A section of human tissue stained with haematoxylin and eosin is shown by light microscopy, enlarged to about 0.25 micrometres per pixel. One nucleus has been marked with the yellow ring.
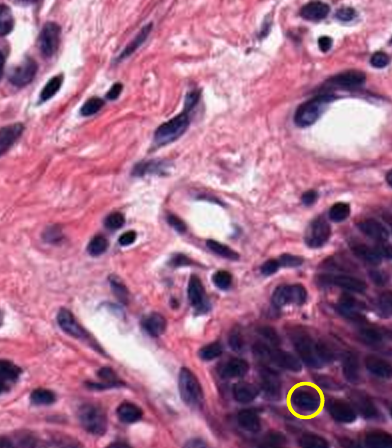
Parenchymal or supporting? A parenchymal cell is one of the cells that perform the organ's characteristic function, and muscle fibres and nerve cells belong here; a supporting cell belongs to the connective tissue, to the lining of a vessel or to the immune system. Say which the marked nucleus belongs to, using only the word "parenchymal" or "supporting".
parenchymal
